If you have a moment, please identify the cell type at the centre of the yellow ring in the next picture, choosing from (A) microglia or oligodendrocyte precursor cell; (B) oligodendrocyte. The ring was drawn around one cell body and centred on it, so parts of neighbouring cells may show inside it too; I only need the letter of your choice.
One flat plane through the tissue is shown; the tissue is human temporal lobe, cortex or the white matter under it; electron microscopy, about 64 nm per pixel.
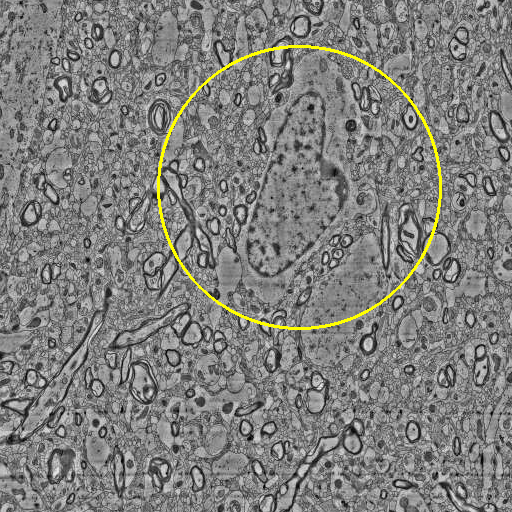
A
